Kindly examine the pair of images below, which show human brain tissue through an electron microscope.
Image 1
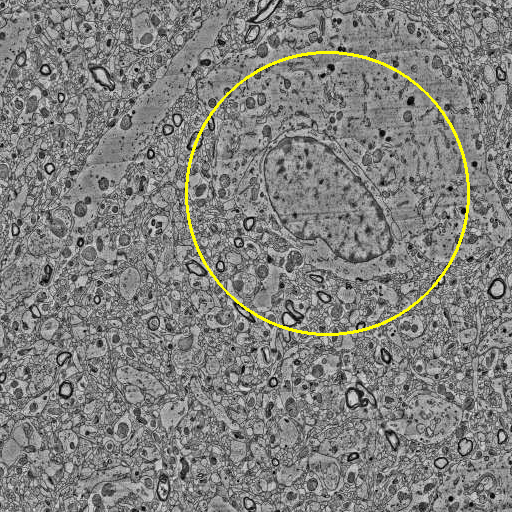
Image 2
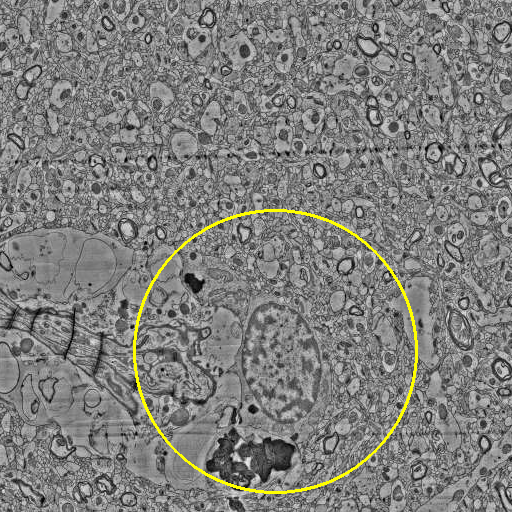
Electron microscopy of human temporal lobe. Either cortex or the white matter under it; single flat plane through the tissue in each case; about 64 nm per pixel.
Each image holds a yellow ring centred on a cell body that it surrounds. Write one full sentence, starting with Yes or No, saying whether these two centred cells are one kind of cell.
No, the cells at the centres of the yellow rings belong to two kinds of cell.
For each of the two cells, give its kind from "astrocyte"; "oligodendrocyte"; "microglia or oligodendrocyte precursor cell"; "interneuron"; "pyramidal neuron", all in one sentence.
The first picture has a microglial cell or oligodendrocyte precursor cell in its ring, the second has an oligodendrocyte.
